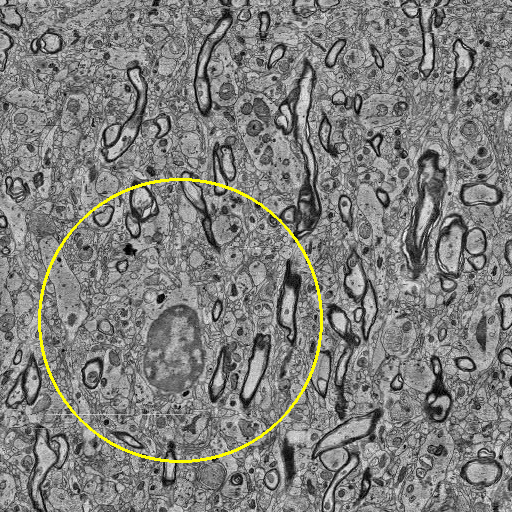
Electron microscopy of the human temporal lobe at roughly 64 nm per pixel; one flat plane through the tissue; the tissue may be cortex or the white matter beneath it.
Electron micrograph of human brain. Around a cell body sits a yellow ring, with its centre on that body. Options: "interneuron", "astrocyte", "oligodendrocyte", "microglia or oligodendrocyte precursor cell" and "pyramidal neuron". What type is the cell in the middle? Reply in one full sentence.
The cell sitting at the centre of the yellow ring is a microglial cell or oligodendrocyte precursor cell.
